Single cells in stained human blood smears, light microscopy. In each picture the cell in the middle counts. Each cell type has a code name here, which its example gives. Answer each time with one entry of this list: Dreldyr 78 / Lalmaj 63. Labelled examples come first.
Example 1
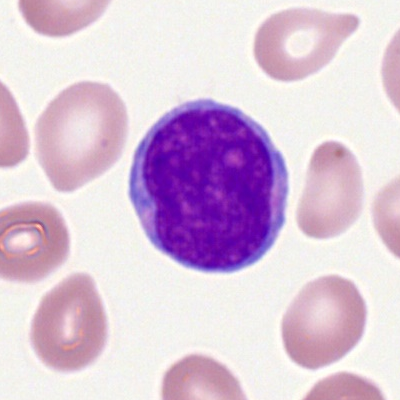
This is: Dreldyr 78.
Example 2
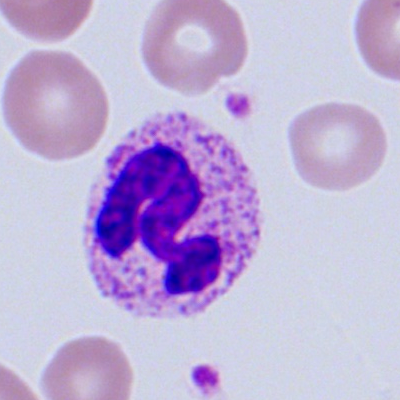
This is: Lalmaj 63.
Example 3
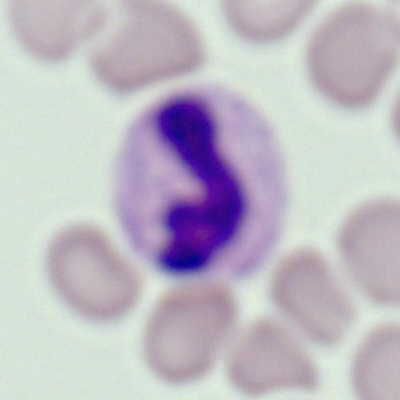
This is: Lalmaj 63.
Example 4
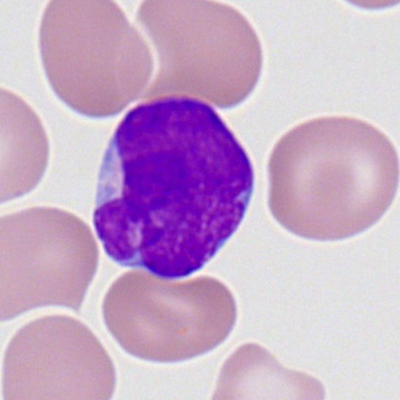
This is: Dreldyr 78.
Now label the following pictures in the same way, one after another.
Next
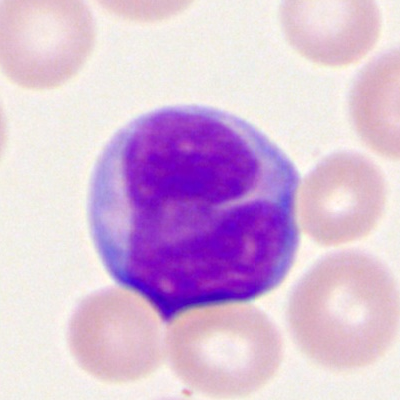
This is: Dreldyr 78.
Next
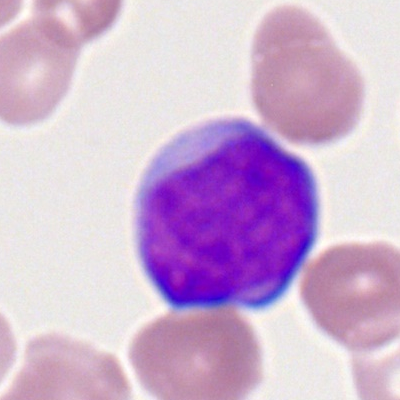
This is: Dreldyr 78.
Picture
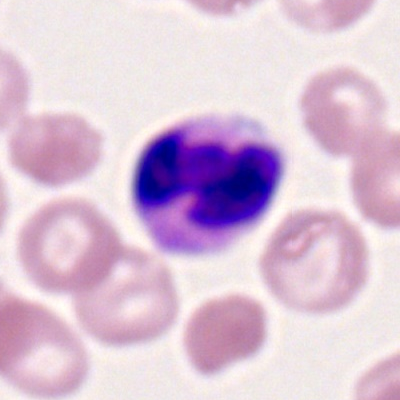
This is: Lalmaj 63.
